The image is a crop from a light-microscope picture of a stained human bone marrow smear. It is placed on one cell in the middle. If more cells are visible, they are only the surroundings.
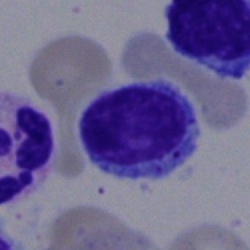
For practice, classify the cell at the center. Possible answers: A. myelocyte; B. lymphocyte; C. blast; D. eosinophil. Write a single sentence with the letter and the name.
The correct response is option B, naming the cell in the middle as a lymphocyte.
